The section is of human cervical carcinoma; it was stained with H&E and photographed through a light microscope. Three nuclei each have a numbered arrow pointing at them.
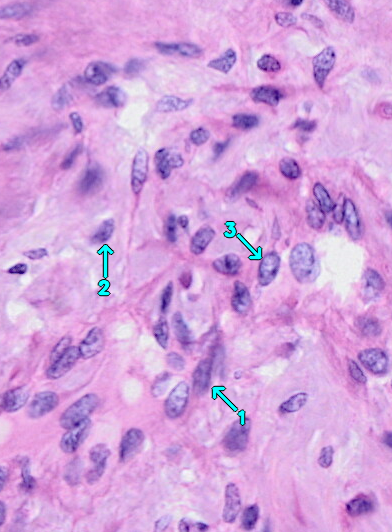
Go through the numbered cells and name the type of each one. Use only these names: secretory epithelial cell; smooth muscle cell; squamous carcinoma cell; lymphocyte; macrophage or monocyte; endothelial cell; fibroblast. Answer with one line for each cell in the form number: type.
1: endothelial cell
2: fibroblast
3: endothelial cell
